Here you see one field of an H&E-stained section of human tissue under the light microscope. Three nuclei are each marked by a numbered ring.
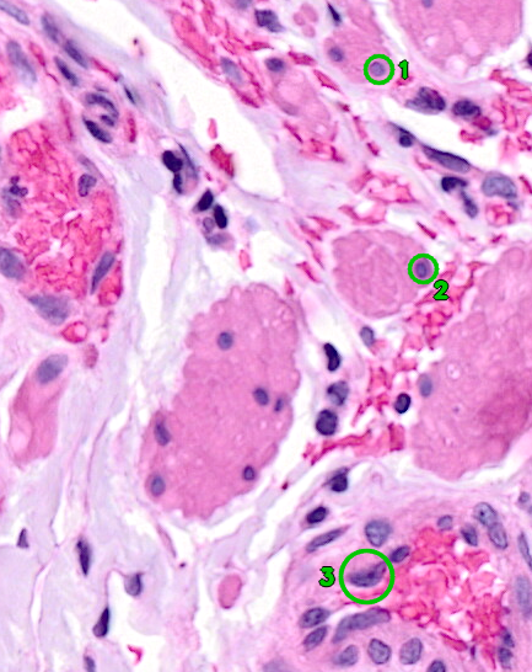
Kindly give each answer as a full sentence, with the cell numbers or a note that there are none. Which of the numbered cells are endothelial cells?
Cell 3 is an endothelial cell, while all remaining marked cells are of other types.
